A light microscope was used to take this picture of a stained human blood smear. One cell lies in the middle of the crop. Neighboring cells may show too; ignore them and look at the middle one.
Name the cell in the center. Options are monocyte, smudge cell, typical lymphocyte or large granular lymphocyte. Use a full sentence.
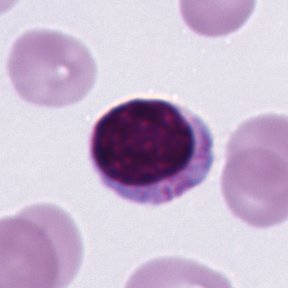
The central element of this crop is a cell, namely a large granular lymphocyte.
